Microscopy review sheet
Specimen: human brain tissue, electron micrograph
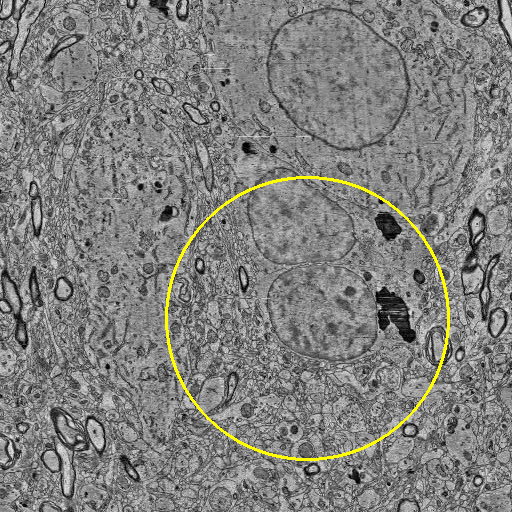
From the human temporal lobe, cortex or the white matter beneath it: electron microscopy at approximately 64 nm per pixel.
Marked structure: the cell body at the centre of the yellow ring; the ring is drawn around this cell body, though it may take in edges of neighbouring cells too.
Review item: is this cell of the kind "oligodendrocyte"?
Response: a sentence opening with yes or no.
Yes, this cell is of that kind.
